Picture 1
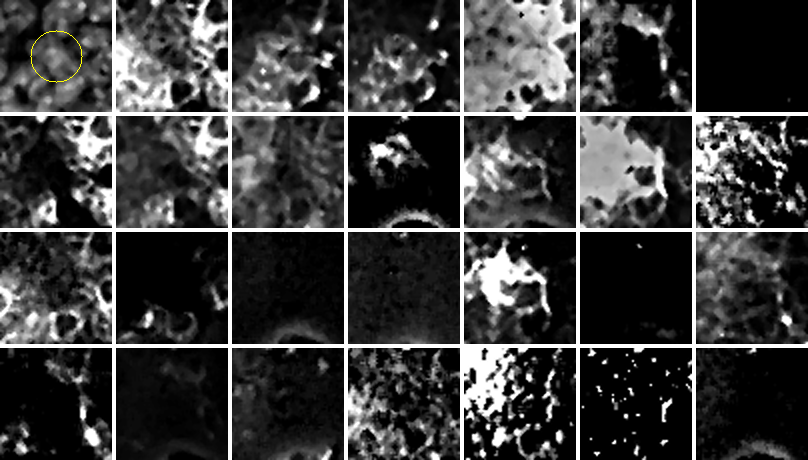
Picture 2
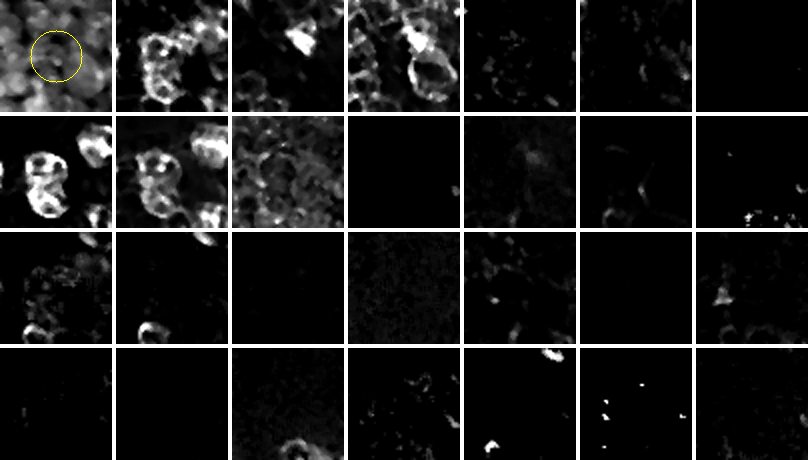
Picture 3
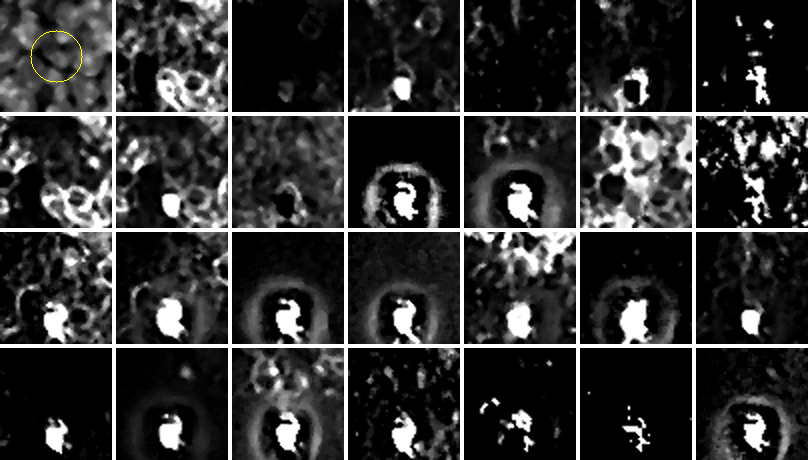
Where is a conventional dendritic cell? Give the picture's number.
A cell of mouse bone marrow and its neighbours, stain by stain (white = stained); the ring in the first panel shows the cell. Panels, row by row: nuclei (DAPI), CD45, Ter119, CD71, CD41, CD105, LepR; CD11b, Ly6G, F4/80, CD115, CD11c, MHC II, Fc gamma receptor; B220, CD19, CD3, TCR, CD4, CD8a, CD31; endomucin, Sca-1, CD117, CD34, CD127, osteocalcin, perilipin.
1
